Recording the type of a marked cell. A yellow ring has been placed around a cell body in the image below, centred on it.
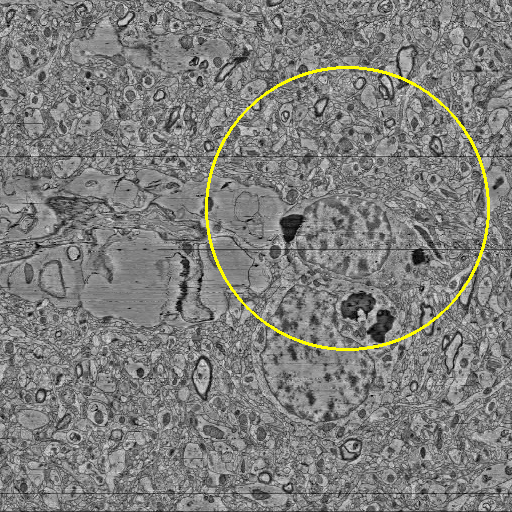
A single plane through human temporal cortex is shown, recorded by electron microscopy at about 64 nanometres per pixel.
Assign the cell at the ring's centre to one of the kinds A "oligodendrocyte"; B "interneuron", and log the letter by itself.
A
